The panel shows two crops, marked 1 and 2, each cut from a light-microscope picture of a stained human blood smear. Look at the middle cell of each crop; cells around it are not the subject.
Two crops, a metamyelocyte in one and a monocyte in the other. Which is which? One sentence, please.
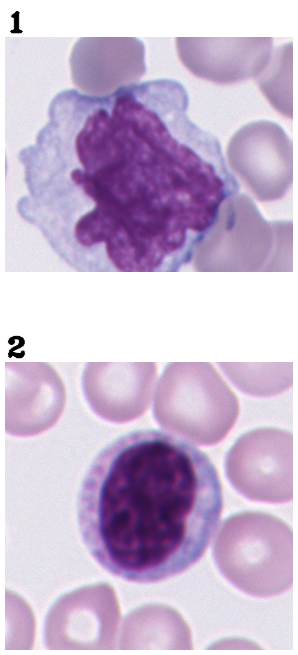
The central cell of crop 1 is a monocyte, and that of crop 2 is a metamyelocyte.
